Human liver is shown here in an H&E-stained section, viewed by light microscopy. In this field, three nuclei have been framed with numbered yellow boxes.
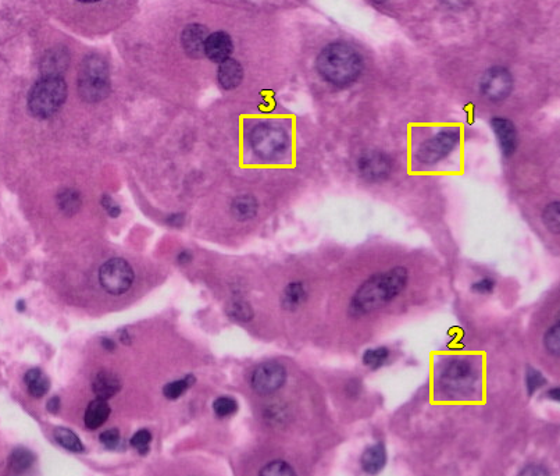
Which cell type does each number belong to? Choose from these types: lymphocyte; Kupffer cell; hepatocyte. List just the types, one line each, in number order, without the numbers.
Kupffer cell
hepatocyte
hepatocyte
